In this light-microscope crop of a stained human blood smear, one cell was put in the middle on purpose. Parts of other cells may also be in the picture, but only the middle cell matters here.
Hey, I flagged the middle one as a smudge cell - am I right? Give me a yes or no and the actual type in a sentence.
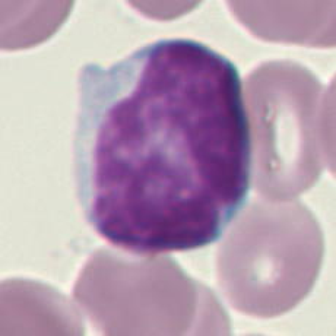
No, the central cell in this crop is a typical lymphocyte and not a smudge cell.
